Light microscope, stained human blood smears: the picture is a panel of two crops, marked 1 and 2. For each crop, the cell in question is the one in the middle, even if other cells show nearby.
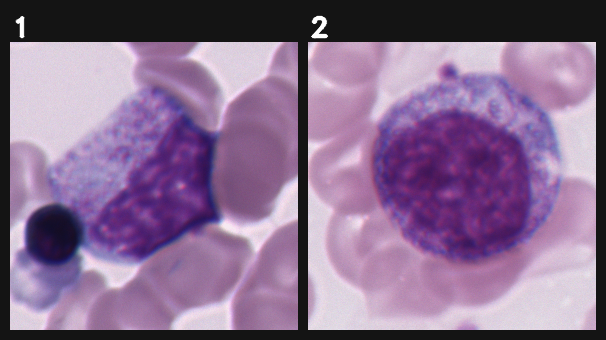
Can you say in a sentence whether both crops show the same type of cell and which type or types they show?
Yes, promyelocytes occupy the centre of both crops.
